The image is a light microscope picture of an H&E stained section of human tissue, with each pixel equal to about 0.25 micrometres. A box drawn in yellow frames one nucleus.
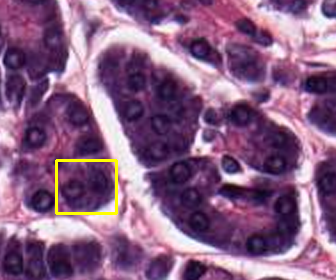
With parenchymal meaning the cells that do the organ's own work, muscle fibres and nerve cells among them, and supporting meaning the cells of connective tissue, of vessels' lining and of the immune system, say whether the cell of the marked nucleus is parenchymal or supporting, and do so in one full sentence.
Belonging to a parenchymal cell, the marked nucleus is that of a pancreatic acinar cell.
